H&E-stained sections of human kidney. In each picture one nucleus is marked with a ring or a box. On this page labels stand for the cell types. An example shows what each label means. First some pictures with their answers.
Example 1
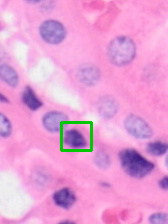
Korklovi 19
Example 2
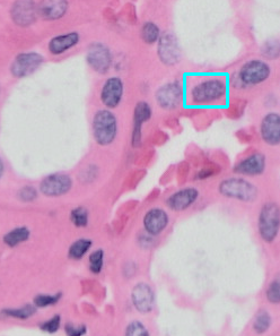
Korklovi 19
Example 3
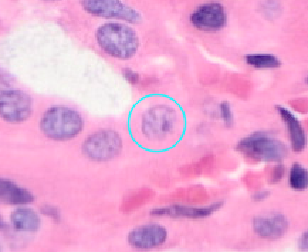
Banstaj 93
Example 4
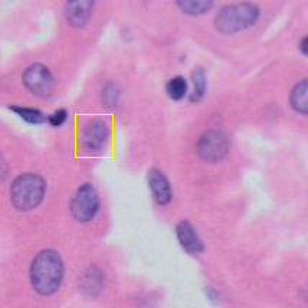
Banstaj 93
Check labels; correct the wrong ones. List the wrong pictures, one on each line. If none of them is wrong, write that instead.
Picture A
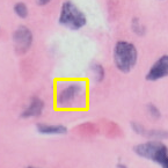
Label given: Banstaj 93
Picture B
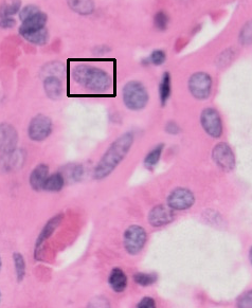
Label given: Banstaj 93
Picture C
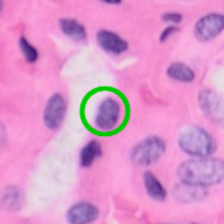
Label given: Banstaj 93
Wrong: B (Banstaj 93); correct: Korklovi 19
